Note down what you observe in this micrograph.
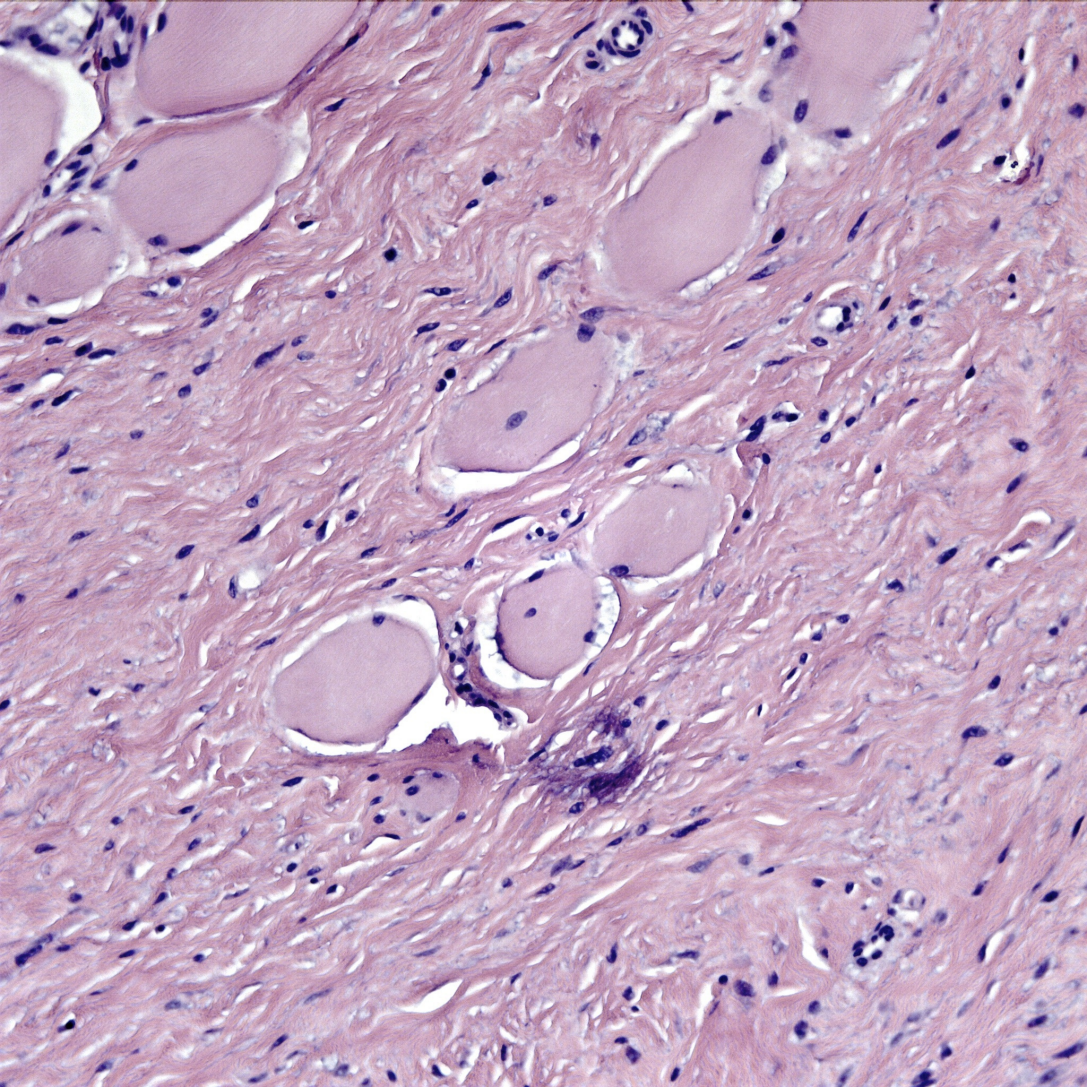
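Scattered large, rounded, homogeneous pink profiles of skeletal muscle fibers, cut in cross-section, are set apart from one another within a pale pink, wavy, collagen-rich tissue. That tissue holds many small, elongated, dark, spindle-shaped nuclei that run in loose streams, along with a few small vessels. The muscle fibers are isolated singly or in small clusters, with narrow clear spaces around some of them. The lesion therefore grows in an infiltrative way, with its cells invading between the muscle fibers and separating them.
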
